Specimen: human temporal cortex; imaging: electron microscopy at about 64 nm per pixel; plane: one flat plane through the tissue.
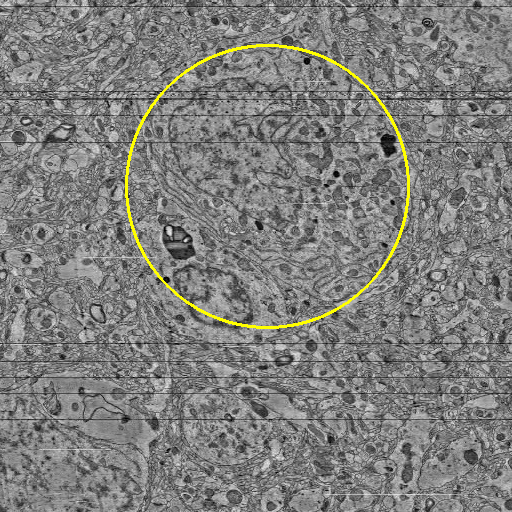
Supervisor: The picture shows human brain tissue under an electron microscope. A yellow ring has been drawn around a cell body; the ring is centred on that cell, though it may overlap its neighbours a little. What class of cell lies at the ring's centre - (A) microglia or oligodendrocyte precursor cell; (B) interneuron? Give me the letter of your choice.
B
